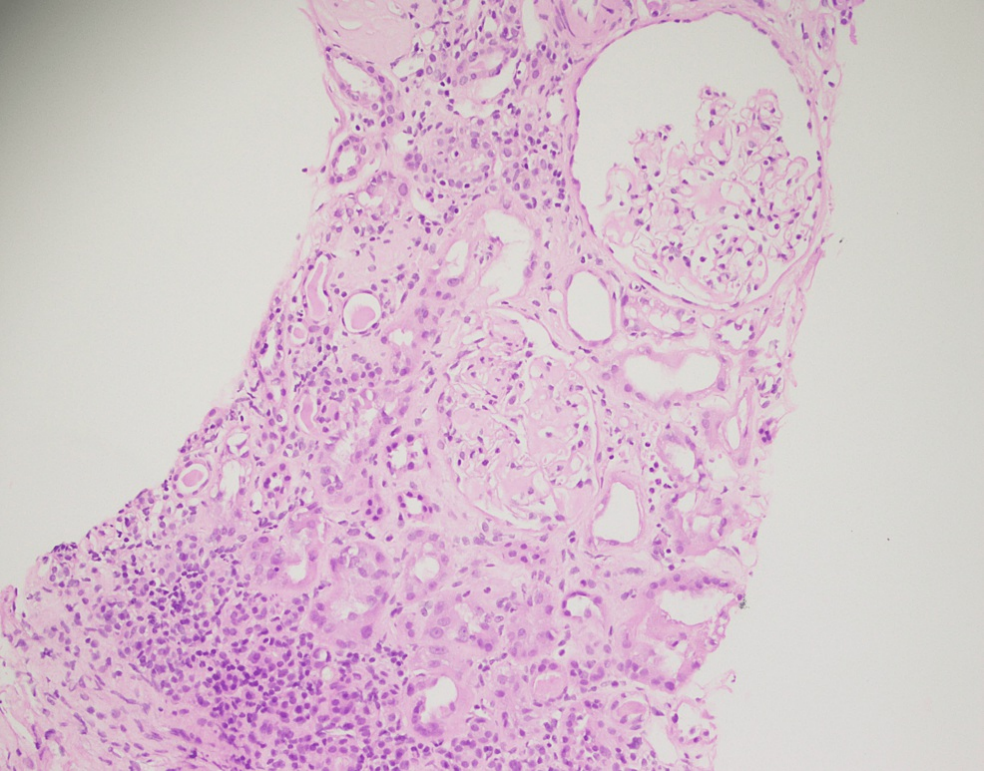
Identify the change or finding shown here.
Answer: Interstitial inflammation.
